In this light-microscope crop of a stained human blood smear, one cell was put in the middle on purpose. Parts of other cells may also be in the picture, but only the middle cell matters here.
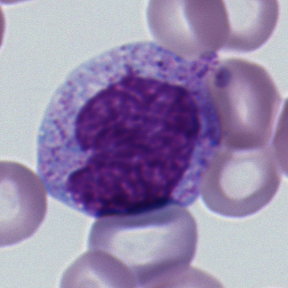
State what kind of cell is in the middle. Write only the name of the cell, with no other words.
myelocyte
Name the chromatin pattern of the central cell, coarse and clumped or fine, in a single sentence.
Check the chromatin: it is fine and not coarsely clumped.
